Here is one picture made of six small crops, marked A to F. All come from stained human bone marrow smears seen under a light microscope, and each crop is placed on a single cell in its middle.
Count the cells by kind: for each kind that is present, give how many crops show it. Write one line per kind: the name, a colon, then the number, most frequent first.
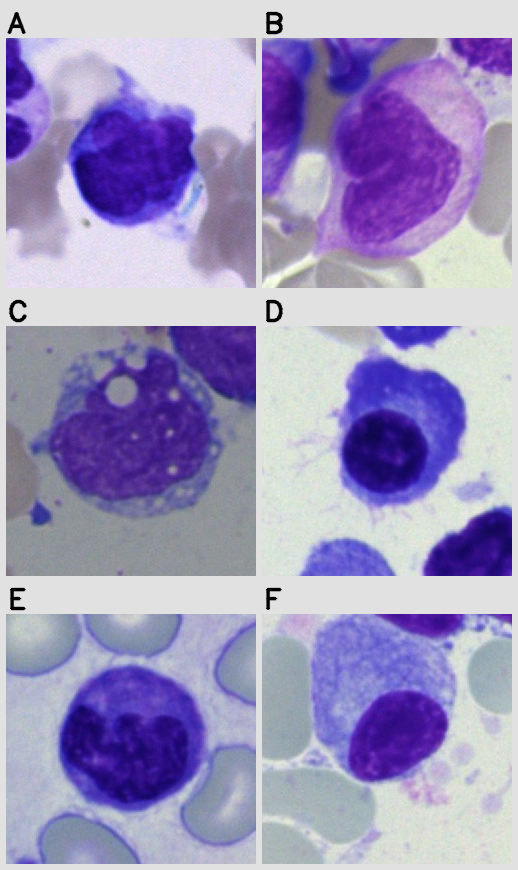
monocyte: 4
plasma cell: 2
